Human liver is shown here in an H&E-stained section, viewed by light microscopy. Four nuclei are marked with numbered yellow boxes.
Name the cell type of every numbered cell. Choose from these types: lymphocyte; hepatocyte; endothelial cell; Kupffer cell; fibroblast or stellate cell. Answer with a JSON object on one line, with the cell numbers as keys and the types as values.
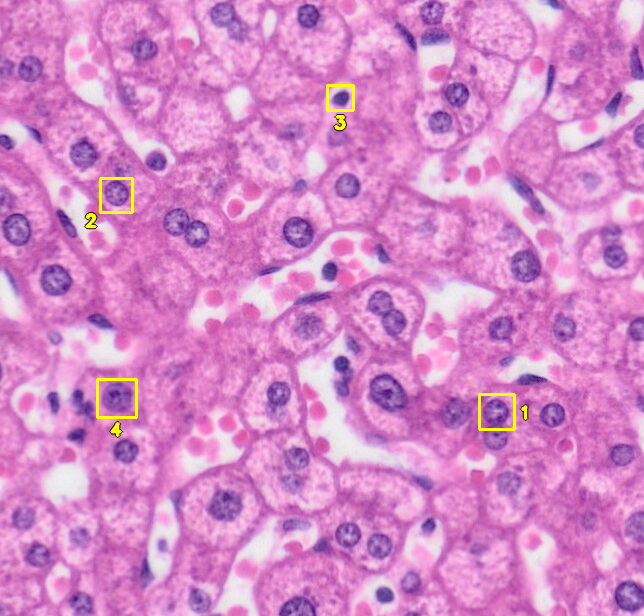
{"1": "hepatocyte", "2": "hepatocyte", "3": "lymphocyte", "4": "hepatocyte"}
